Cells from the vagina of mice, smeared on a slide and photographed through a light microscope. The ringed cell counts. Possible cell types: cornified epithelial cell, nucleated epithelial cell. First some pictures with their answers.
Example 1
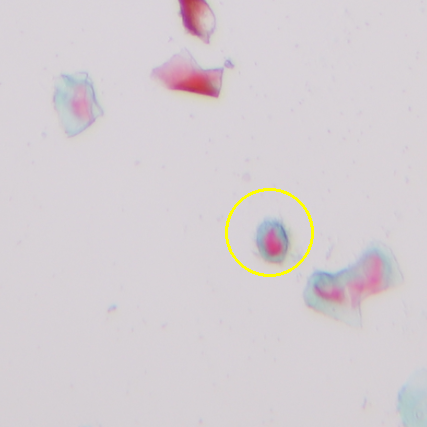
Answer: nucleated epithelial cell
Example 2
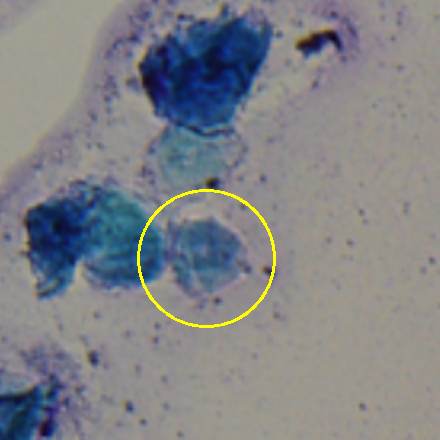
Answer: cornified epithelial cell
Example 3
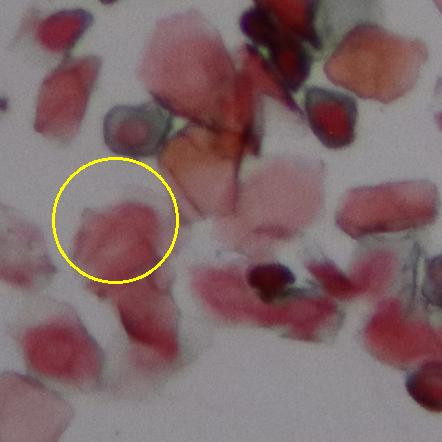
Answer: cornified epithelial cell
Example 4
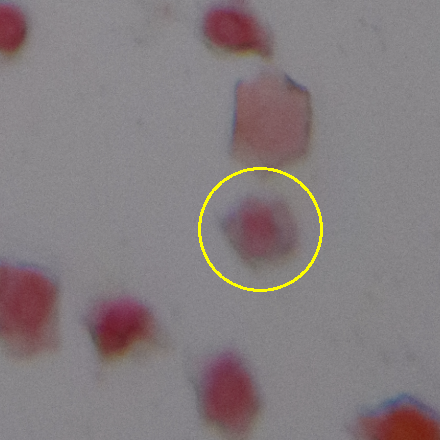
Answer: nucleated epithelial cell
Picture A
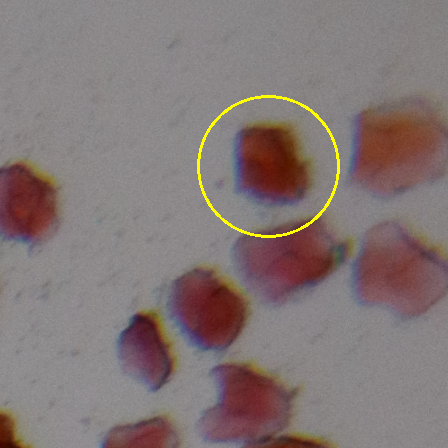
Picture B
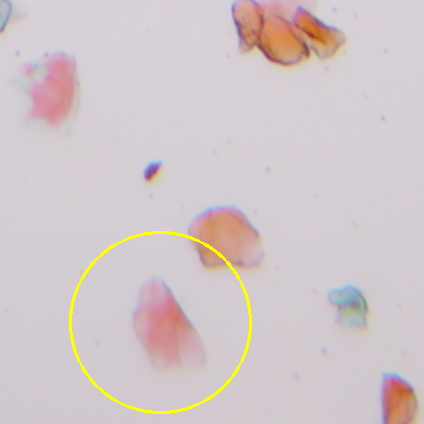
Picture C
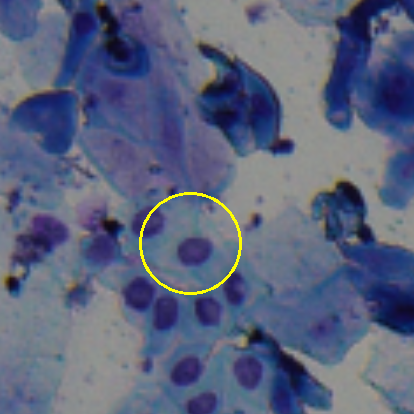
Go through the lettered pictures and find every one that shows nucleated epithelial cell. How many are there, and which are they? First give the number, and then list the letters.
Count: 1 (C)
